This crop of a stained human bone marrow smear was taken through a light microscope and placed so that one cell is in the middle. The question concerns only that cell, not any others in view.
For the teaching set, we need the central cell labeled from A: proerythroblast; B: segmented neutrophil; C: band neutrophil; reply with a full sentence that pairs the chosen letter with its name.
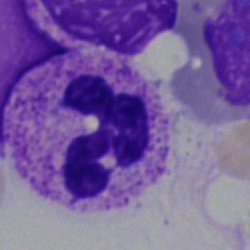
With the cell in the middle being a segmented neutrophil, option B is the correct choice.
